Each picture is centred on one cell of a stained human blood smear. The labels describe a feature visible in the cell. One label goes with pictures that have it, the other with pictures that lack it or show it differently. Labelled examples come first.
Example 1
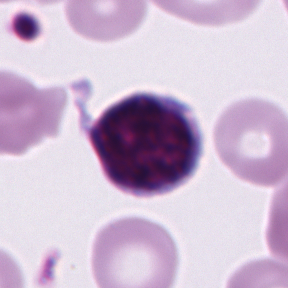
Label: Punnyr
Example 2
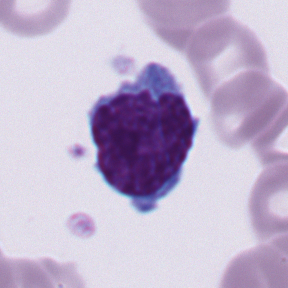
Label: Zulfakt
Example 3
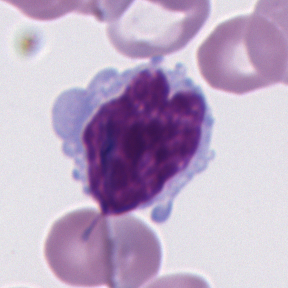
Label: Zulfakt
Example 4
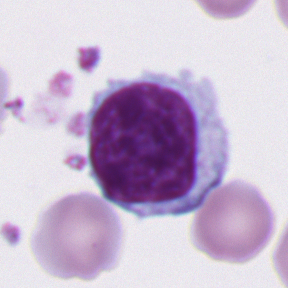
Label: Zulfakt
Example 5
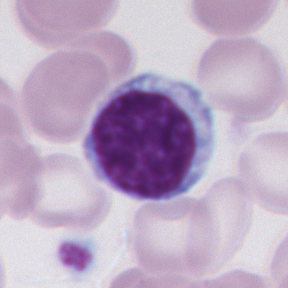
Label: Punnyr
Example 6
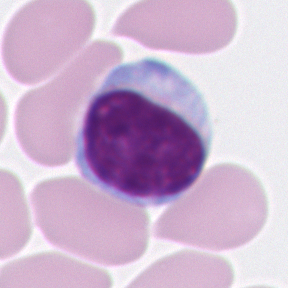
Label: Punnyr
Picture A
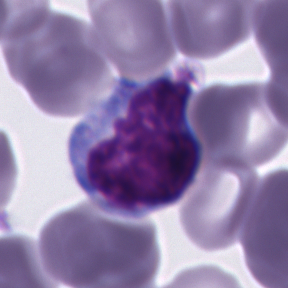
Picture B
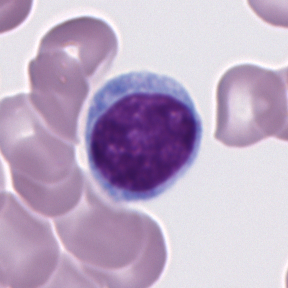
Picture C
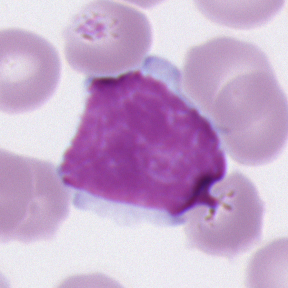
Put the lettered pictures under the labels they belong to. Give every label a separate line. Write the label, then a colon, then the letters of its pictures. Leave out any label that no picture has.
Punnyr: B
Zulfakt: A, C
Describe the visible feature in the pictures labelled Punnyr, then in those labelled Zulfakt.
Punnyr, smooth outline; Zulfakt, ragged outline or projections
